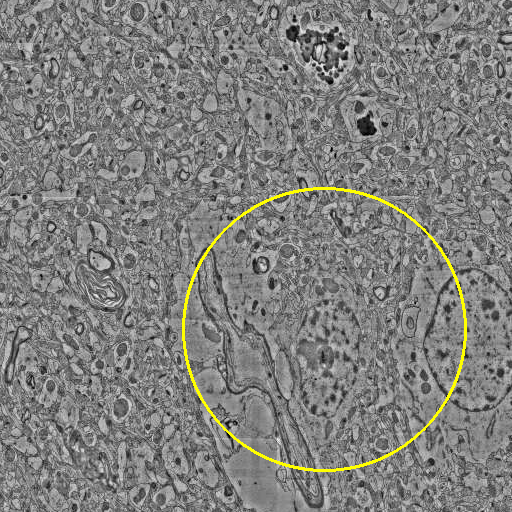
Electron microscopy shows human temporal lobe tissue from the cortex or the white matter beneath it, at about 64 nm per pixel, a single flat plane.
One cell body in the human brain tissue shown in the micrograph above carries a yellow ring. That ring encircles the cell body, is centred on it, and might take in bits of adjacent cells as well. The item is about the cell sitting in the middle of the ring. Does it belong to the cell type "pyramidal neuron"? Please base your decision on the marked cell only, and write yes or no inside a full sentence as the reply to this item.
No, the cell in the centre of the yellow ring belongs to a different kind.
